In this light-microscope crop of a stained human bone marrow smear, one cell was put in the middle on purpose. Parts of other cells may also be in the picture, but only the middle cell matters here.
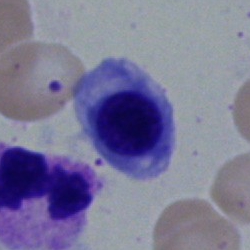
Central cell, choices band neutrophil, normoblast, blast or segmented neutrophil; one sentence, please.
The crop's centre is taken up by a normoblast.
